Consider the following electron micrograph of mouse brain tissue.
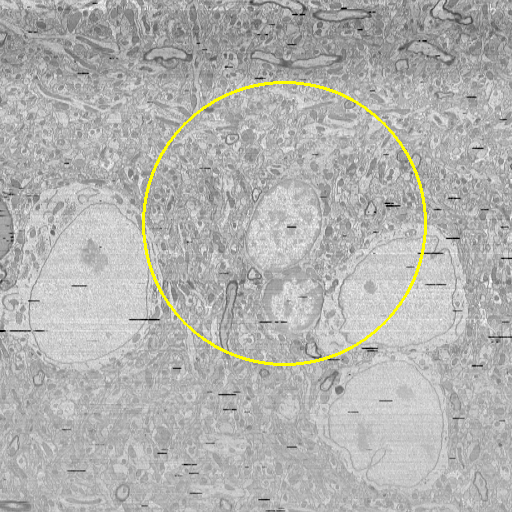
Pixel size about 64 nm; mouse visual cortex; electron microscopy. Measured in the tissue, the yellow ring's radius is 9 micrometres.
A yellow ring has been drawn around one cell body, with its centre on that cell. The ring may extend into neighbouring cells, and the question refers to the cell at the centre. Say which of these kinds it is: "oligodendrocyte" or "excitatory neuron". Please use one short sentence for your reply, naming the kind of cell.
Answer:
The centre of the ring falls on an oligodendrocyte.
